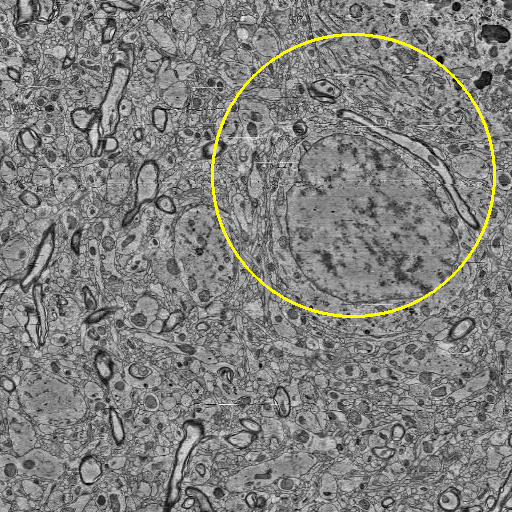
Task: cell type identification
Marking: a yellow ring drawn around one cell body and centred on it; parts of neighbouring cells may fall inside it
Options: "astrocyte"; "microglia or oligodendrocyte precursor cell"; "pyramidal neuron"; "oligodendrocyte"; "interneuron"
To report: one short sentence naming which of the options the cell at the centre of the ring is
The cell at the centre of the ring is a pyramidal neuron.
